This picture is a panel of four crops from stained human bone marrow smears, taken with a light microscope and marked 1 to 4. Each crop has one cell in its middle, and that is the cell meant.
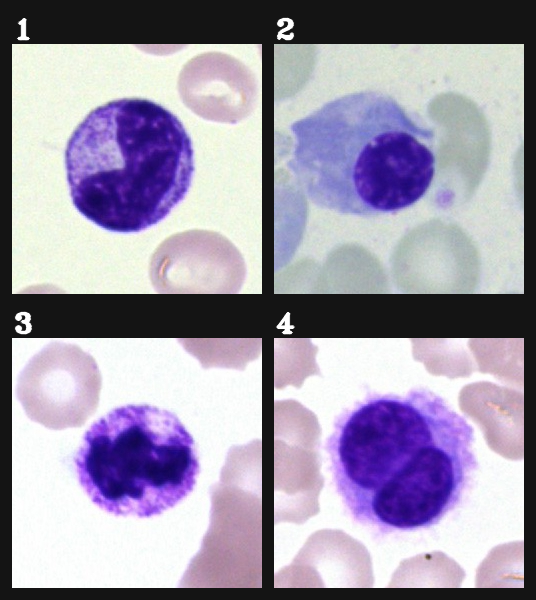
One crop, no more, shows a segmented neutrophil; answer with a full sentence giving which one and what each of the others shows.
The crop marked 3 contains a segmented neutrophil, while crop 1 is a band neutrophil, crop 2 is an erythroblast and crop 4 is a hairy cell.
